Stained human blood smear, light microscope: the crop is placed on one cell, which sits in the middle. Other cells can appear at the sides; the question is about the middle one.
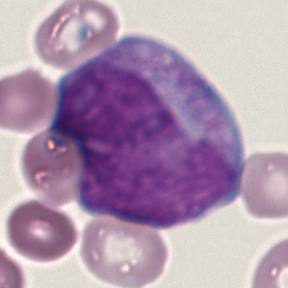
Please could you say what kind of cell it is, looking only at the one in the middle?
atypical promyelocyte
